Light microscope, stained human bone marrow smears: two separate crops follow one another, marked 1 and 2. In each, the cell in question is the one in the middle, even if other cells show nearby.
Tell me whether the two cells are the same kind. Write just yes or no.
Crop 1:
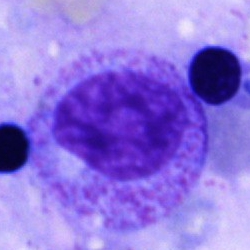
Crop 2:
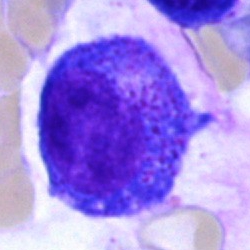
yes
